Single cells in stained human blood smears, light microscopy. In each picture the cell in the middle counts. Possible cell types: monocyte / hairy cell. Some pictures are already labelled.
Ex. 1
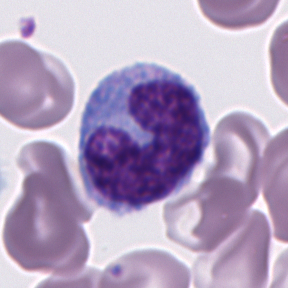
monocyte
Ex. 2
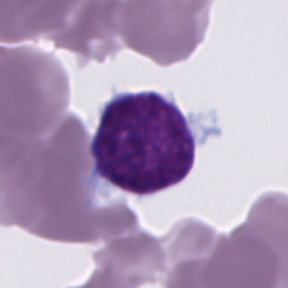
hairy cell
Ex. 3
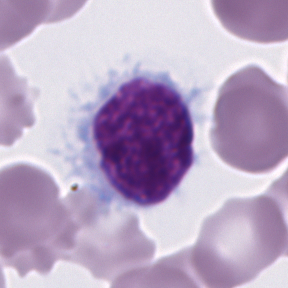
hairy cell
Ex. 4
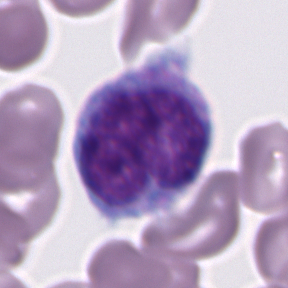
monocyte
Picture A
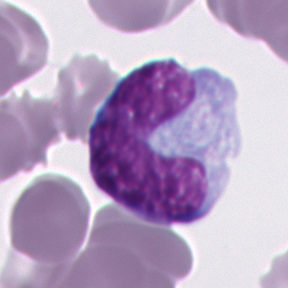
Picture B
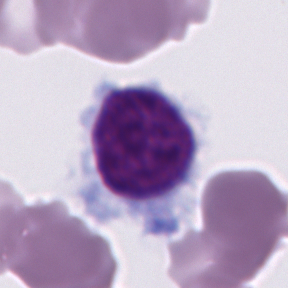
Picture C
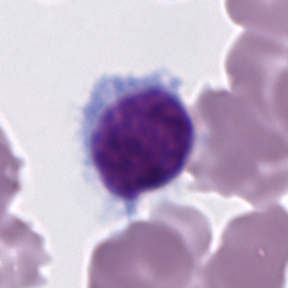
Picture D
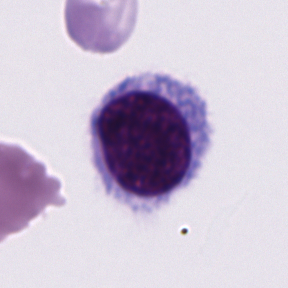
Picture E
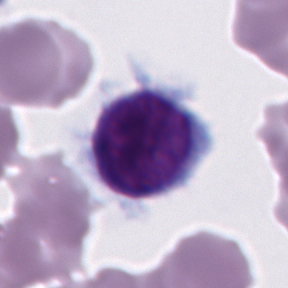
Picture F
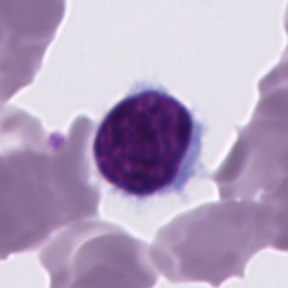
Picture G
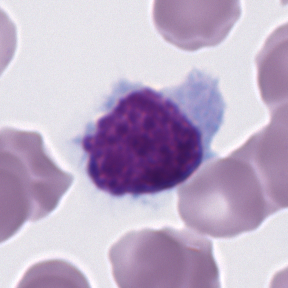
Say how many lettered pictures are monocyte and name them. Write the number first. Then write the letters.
Count: 1 (A)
